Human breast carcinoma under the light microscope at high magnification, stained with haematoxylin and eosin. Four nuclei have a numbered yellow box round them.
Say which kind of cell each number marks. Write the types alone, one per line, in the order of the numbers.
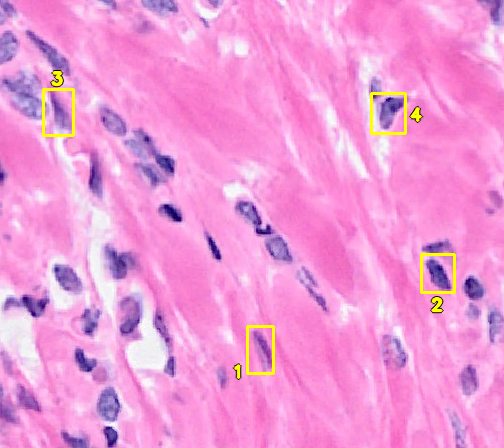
fibroblast
lymphocyte
endothelial cell
lymphocyte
